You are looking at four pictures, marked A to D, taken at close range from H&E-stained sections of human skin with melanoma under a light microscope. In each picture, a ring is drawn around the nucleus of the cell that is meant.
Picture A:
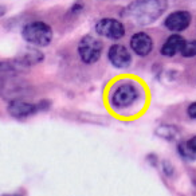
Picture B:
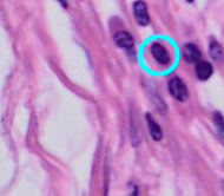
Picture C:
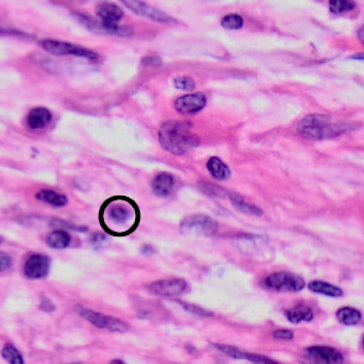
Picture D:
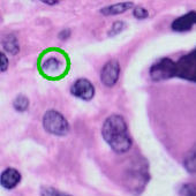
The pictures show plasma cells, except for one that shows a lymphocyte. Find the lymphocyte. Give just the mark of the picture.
D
